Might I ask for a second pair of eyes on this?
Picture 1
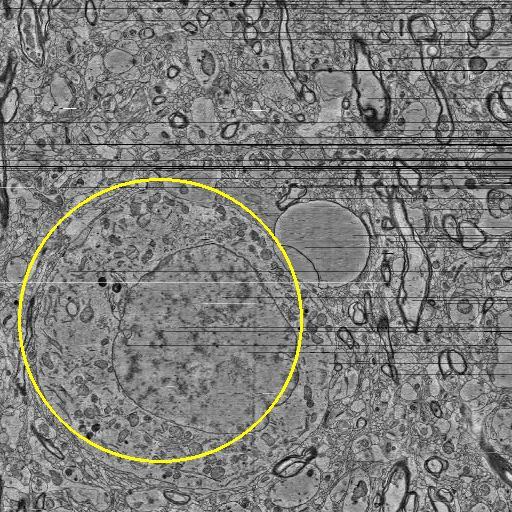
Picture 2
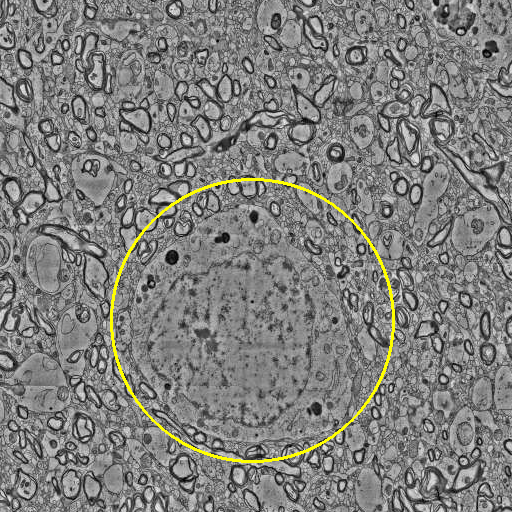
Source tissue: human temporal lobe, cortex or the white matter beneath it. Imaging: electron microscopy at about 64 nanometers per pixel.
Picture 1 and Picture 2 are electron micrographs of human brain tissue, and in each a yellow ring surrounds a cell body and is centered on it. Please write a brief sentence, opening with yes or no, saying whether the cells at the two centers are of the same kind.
Yes, the cells are of the same kind.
